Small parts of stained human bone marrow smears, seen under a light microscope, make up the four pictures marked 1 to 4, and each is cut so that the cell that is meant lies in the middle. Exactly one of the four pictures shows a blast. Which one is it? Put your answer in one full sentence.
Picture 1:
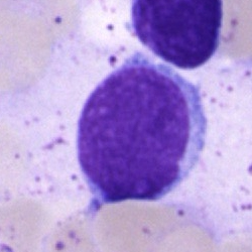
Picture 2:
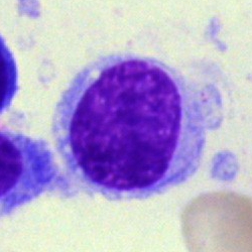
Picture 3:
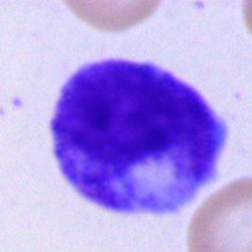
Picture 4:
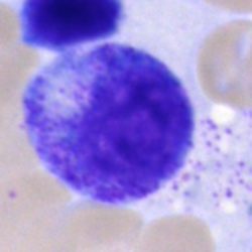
The cell in picture 1 is the blast.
